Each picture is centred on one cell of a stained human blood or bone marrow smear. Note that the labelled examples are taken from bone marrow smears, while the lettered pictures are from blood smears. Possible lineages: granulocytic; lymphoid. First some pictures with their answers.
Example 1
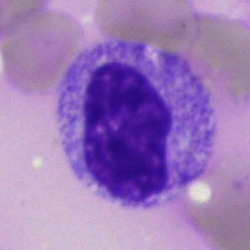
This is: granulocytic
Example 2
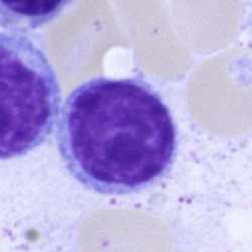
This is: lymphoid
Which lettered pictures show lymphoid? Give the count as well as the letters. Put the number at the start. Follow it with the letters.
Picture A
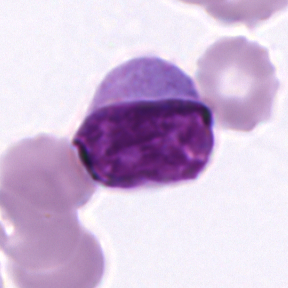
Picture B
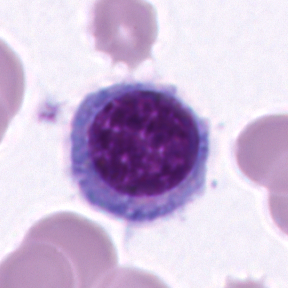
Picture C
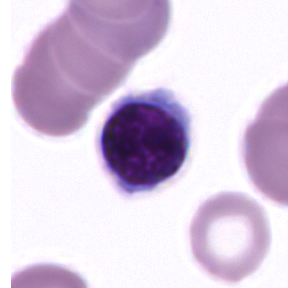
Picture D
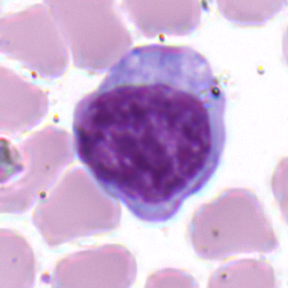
Count: 4 (A, B, C, D)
